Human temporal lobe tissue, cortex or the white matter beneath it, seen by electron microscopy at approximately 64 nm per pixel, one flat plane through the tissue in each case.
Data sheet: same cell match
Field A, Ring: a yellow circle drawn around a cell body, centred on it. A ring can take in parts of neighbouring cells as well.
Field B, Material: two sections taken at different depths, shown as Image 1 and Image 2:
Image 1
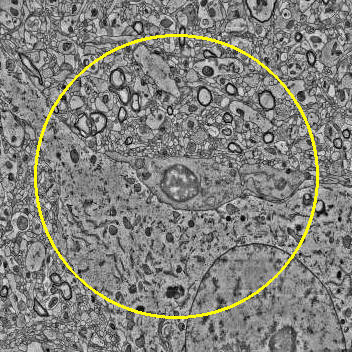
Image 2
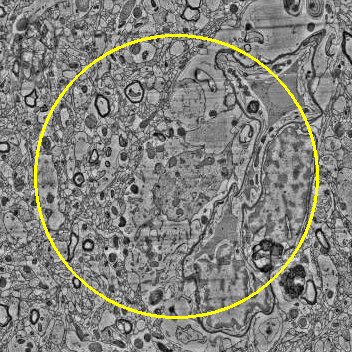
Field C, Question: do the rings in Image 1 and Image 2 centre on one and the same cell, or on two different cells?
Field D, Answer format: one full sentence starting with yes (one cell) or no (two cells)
No, the two yellow rings surround two different cells.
